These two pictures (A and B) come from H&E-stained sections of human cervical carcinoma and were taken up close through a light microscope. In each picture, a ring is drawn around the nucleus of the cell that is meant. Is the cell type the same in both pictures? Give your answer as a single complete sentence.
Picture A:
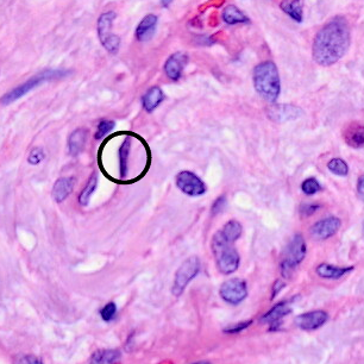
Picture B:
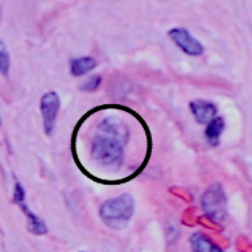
Yes, both cells are endothelial cells.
